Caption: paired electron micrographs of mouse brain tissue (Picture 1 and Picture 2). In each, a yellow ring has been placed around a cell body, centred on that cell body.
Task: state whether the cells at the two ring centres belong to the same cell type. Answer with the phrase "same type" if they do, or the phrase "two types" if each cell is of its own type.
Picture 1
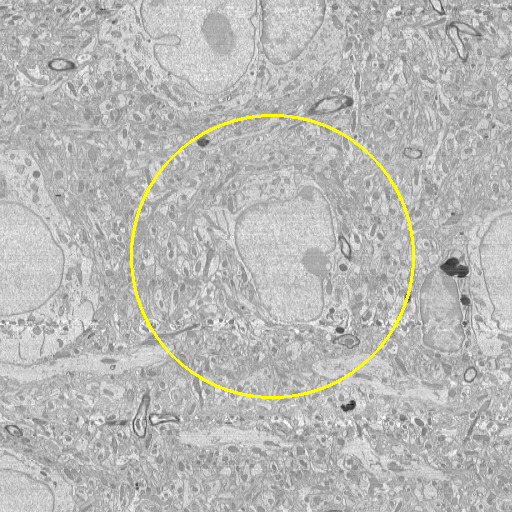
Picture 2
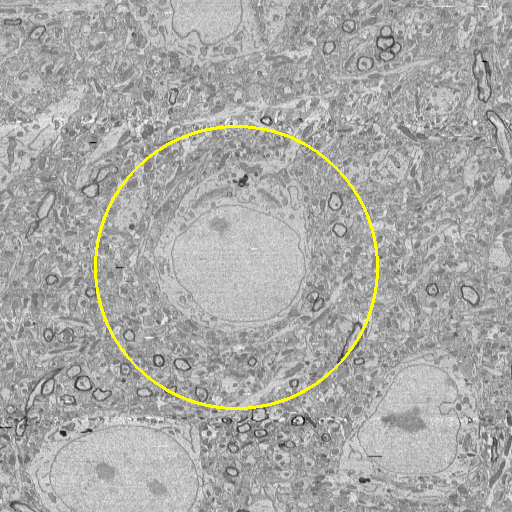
two types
